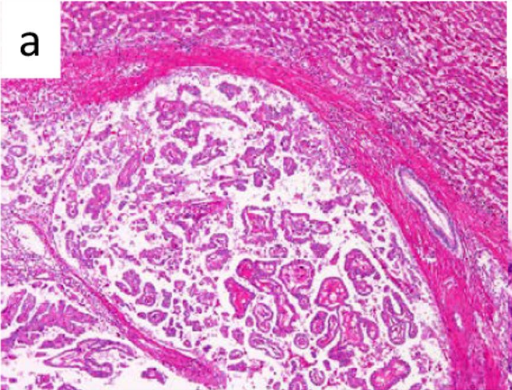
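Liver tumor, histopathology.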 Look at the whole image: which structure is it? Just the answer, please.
Papillary structure.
